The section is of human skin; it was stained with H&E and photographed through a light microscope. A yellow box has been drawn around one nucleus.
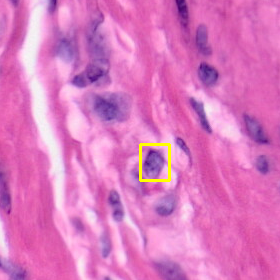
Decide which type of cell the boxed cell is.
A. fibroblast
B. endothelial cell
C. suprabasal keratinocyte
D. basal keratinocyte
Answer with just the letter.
B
